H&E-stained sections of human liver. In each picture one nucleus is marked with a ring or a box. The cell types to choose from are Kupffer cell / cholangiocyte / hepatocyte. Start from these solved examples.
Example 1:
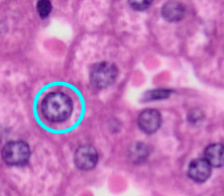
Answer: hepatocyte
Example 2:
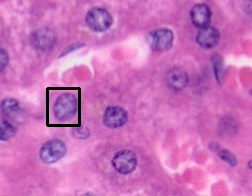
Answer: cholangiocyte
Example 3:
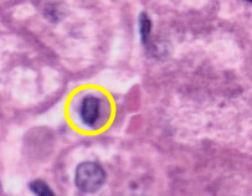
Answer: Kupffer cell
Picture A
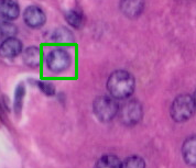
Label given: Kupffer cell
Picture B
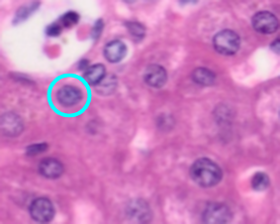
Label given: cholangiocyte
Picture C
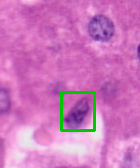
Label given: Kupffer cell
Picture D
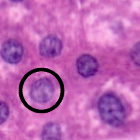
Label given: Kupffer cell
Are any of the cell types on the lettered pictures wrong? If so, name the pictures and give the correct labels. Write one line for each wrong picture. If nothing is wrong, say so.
A: not Kupffer cell but cholangiocyte
D: not Kupffer cell but hepatocyte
